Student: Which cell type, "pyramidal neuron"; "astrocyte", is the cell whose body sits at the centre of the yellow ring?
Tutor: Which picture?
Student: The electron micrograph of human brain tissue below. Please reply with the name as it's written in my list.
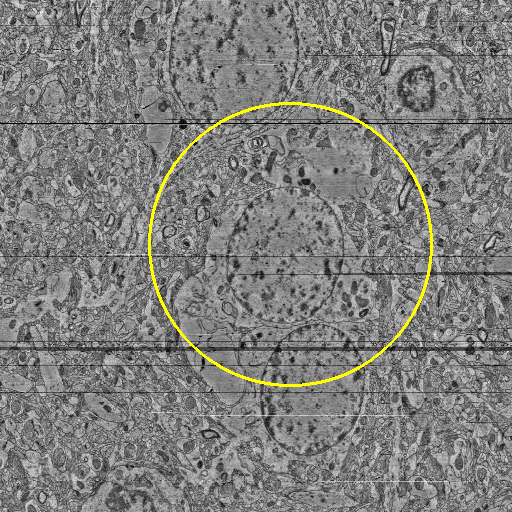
astrocyte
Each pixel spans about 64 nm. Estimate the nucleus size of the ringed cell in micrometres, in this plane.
In this plane the nucleus measures roughly 10 by 7 micrometres.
